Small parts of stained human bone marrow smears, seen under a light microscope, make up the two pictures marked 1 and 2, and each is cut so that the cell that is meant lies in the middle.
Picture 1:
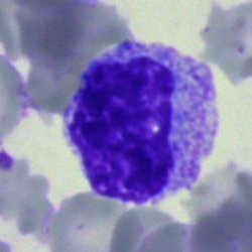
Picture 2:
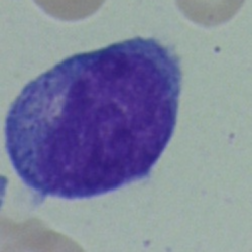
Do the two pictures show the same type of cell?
no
